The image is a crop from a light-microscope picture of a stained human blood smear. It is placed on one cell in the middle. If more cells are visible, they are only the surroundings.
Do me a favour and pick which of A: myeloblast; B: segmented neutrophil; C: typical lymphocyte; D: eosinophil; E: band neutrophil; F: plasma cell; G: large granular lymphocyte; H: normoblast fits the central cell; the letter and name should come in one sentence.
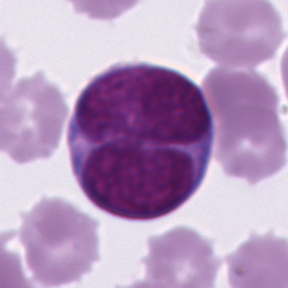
Option A is accurate; the centrally placed cell is a myeloblast.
